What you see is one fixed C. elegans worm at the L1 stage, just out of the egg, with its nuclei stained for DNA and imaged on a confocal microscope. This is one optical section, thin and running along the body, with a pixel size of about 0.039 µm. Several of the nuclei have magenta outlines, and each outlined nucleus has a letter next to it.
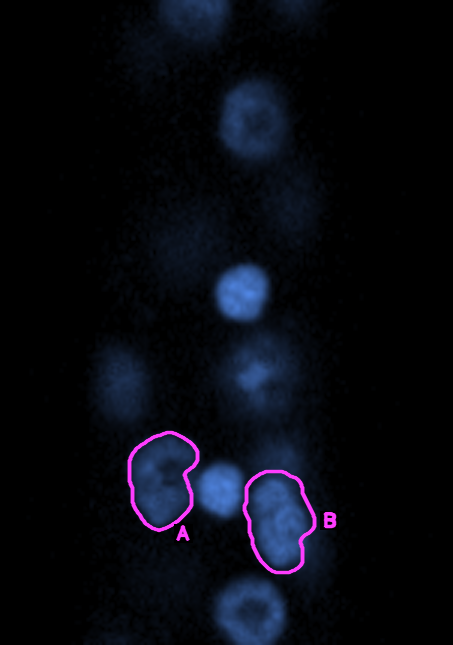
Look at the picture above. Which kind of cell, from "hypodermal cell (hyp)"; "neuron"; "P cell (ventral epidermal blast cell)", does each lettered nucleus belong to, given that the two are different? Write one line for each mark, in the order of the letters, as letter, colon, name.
A: hypodermal cell (hyp)
B: P cell (ventral epidermal blast cell)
